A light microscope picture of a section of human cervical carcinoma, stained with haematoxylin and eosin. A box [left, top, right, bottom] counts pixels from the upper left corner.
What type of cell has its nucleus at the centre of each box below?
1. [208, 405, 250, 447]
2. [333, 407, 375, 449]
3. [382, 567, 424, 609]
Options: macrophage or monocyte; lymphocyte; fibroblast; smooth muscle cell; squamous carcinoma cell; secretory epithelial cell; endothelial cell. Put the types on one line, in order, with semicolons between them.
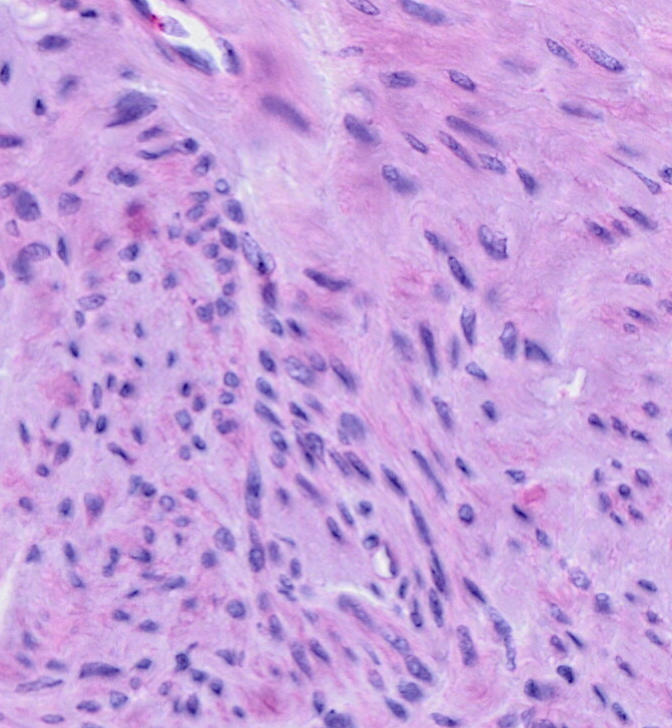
smooth muscle cell; fibroblast; fibroblast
